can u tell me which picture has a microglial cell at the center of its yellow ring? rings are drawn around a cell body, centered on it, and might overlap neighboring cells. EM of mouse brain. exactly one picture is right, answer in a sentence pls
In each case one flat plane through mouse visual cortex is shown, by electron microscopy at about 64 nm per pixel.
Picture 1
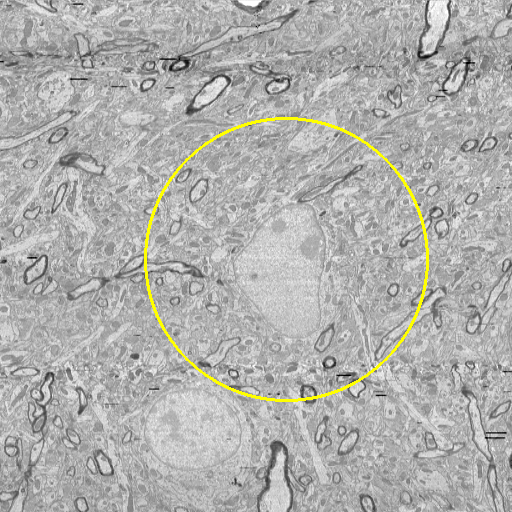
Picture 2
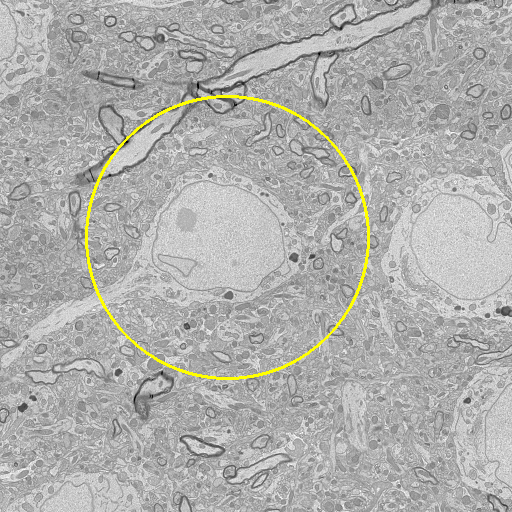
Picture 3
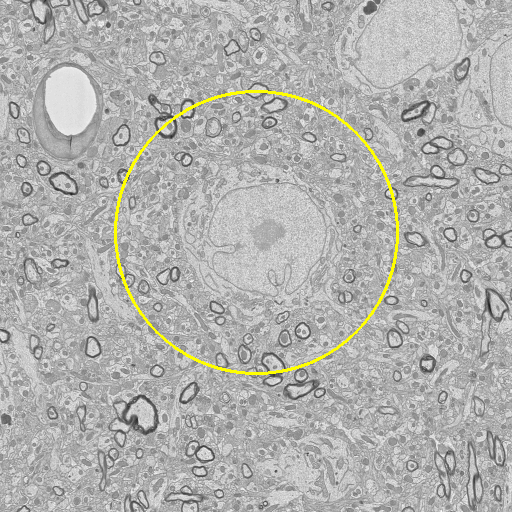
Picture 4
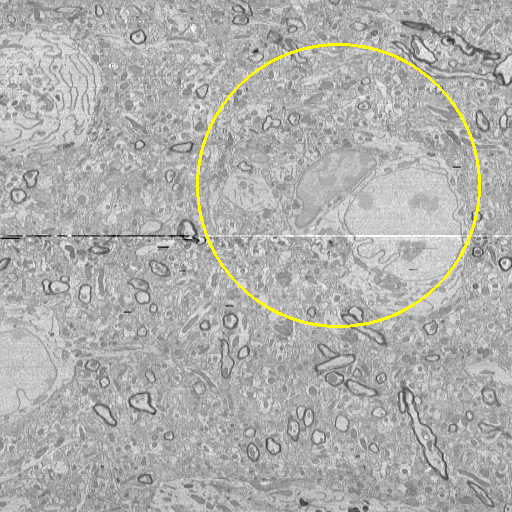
Picture 4 is the one.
